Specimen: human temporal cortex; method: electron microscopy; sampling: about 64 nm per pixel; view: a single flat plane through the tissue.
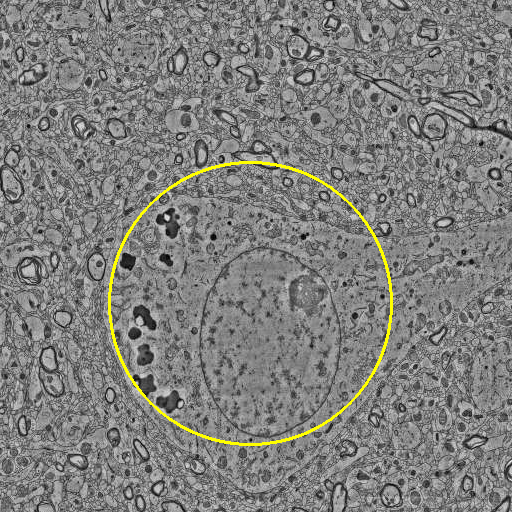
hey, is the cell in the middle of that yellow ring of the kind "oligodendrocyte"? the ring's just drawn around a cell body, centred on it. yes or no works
no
